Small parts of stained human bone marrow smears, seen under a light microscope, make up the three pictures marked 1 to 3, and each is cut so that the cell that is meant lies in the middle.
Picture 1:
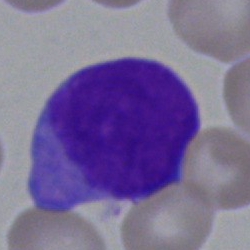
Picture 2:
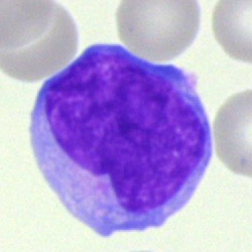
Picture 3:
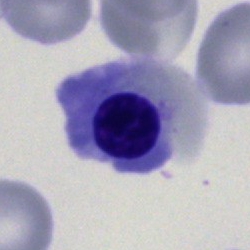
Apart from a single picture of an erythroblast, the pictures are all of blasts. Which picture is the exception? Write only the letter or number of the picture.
3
